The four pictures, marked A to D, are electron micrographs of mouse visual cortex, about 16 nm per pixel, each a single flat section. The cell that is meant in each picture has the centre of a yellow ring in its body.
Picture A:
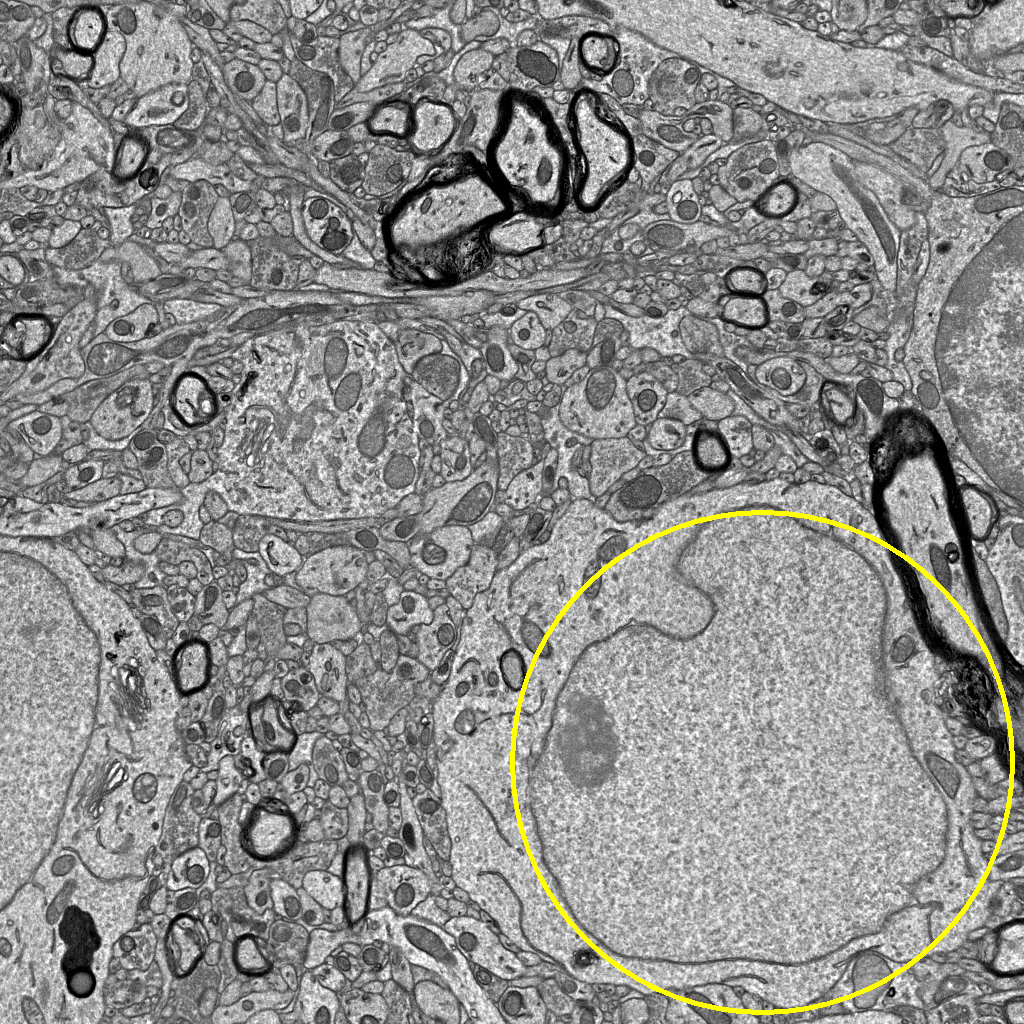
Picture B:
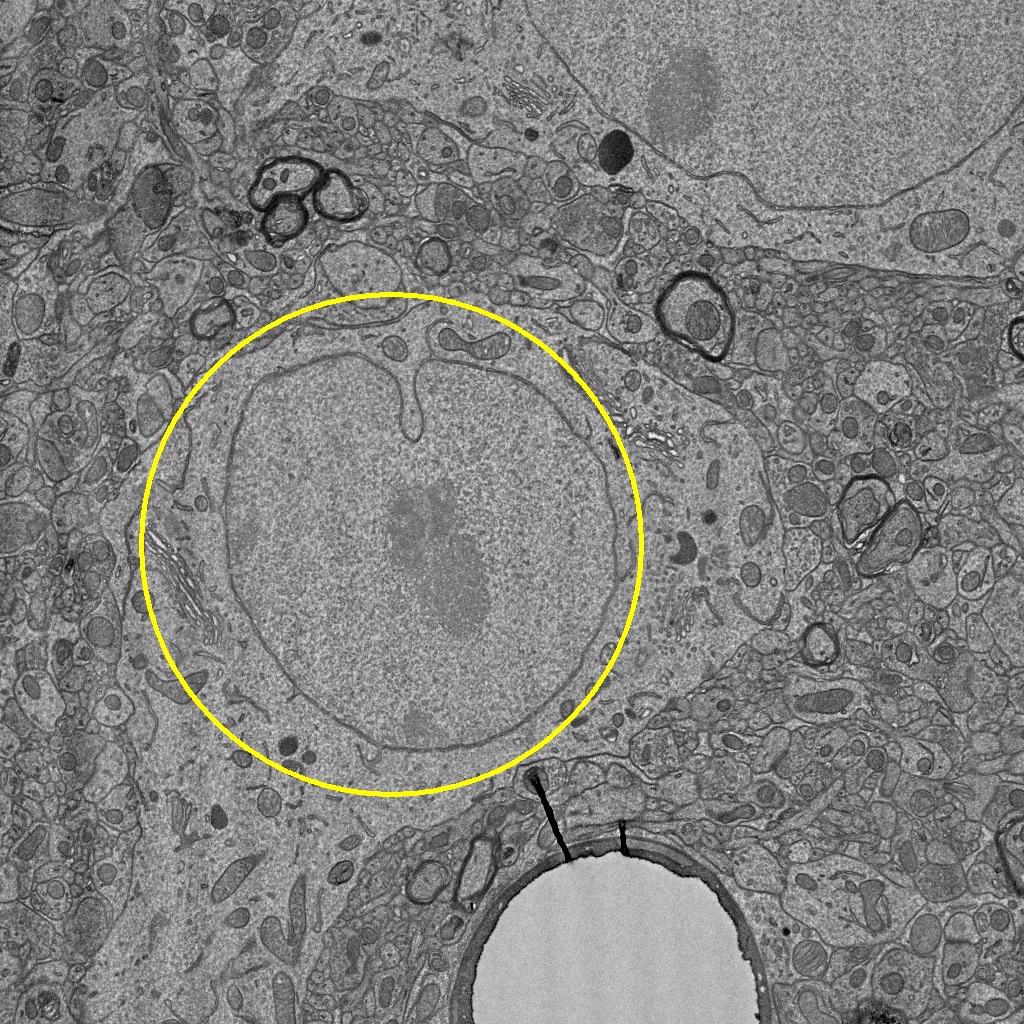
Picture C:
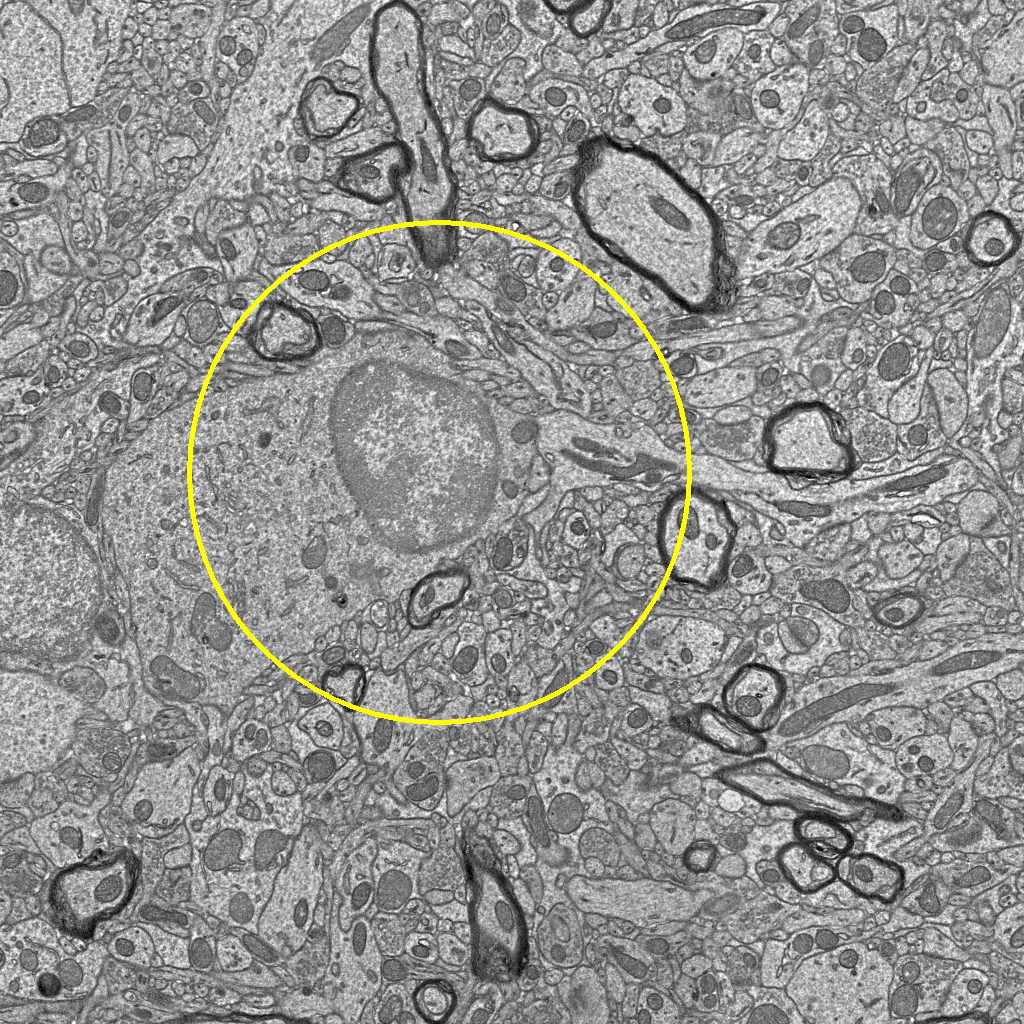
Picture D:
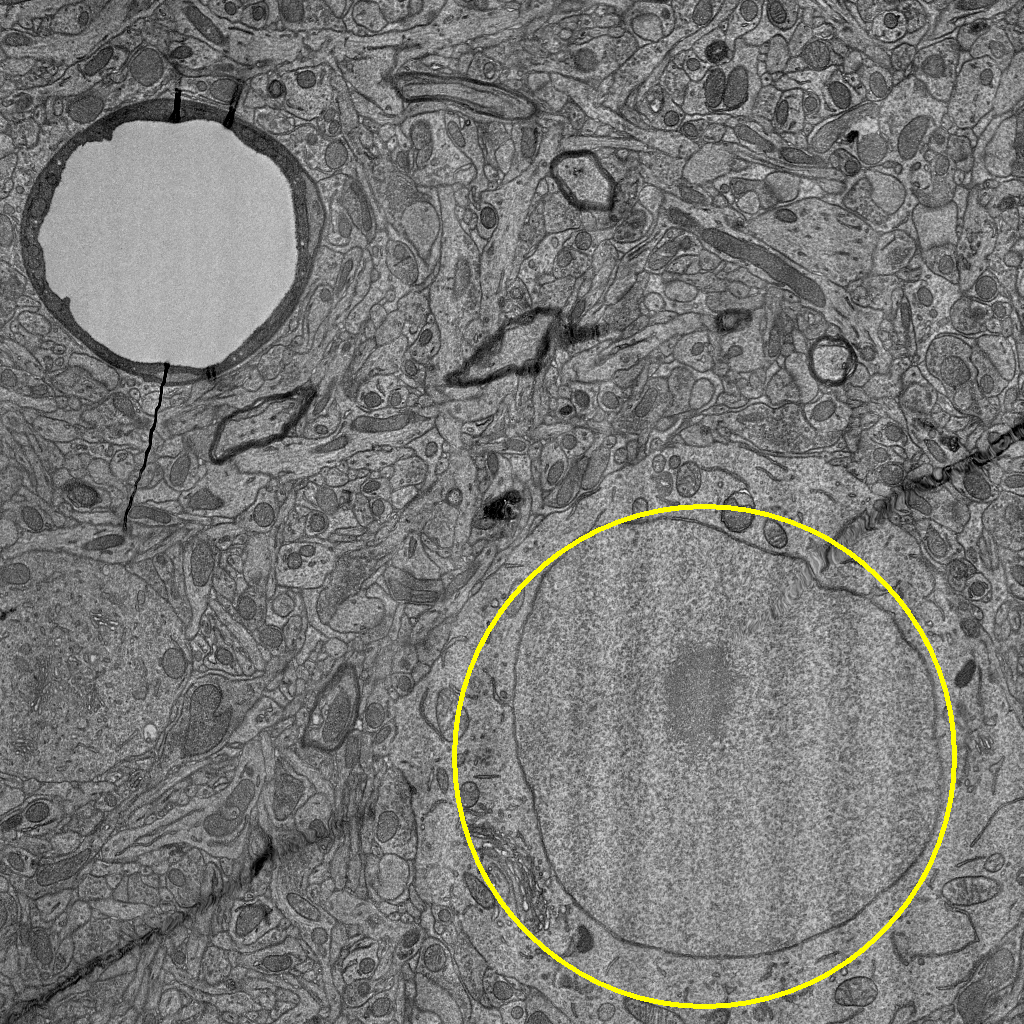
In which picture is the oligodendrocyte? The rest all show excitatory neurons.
Picture C is the one that shows the oligodendrocyte.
